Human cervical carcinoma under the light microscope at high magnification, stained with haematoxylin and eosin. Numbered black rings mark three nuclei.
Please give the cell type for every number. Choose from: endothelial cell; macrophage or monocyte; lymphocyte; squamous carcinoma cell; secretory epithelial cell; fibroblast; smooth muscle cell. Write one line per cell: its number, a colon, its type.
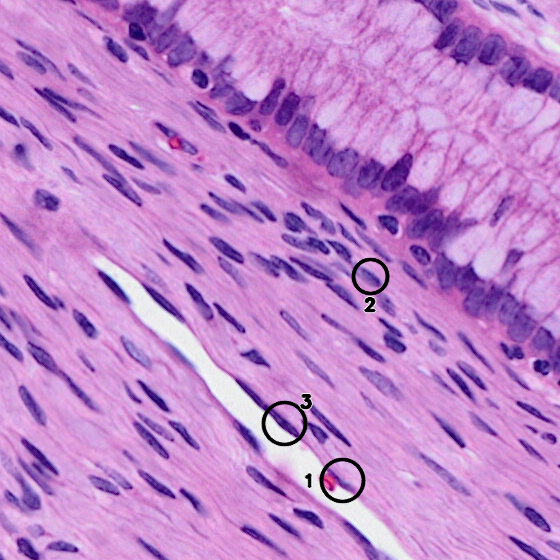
1: endothelial cell
2: fibroblast
3: endothelial cell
